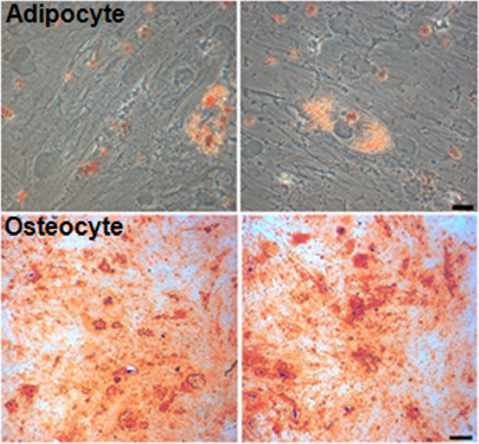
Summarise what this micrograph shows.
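Four fields of cultured cells in a two-by-two grid. In the upper pair, flat, elongated, spindle-shaped cells lie side by side in a grey, low-contrast background, with oval nuclei faintly visible. In the lower pair the culture forms a dense, confluent sheet, heavily stained red-orange, with darker red nodules and patches scattered throughout.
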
